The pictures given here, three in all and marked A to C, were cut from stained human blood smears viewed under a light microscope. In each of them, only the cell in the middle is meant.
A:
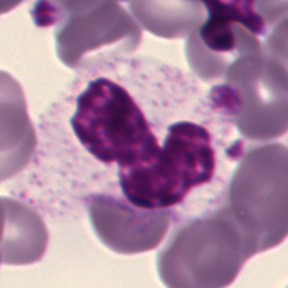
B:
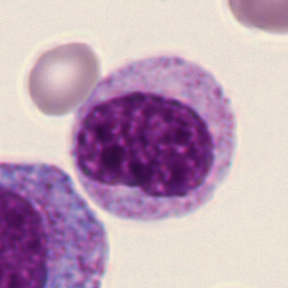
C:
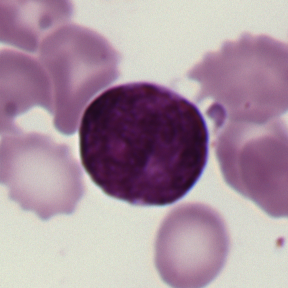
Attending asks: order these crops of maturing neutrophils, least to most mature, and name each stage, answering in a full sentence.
Along a scale from least to most mature, the order is crop C (a myeloblast), crop B (a metamyelocyte) and crop A (a band neutrophil).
